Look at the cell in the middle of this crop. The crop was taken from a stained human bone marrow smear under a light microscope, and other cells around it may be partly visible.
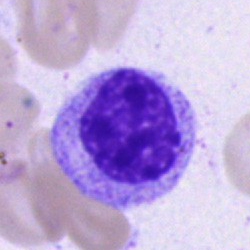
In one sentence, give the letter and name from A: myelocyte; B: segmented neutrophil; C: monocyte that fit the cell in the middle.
Seen at the centre of the crop is a myelocyte, so option A is correct.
